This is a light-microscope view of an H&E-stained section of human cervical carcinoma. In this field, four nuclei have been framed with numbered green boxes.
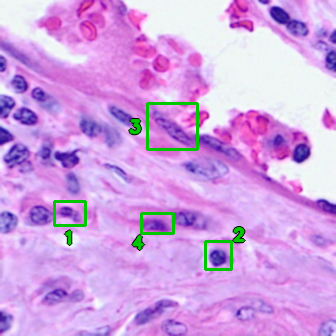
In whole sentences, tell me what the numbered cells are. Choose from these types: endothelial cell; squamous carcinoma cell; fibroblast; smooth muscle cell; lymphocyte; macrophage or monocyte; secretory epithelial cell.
Cell 1 is a macrophage or monocyte. Cell 2 is a lymphocyte. Cell 3 is an endothelial cell. Cell 4 is a smooth muscle cell.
